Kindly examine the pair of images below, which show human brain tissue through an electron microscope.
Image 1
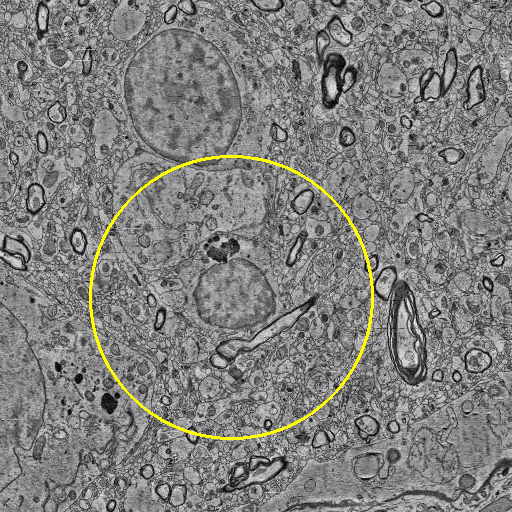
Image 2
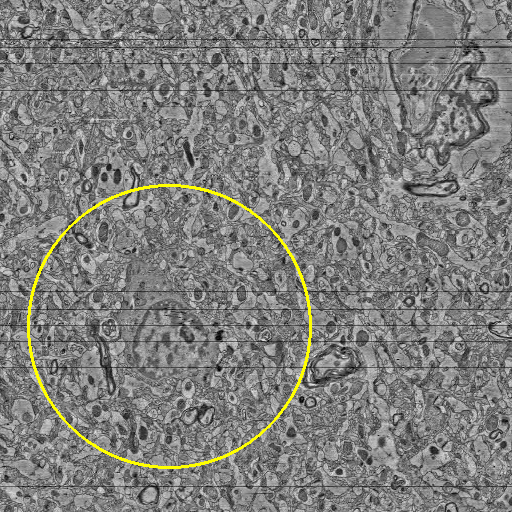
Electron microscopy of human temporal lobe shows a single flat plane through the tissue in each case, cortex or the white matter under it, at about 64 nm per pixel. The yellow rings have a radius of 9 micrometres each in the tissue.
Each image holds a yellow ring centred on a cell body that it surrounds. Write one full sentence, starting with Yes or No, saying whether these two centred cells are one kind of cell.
Yes, both cells at the centres of the yellow rings belong to one kind of cell.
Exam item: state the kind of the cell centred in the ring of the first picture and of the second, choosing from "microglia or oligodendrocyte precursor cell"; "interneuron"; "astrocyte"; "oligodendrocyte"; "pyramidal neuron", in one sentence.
Both the first and the second picture show an oligodendrocyte in the ring.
